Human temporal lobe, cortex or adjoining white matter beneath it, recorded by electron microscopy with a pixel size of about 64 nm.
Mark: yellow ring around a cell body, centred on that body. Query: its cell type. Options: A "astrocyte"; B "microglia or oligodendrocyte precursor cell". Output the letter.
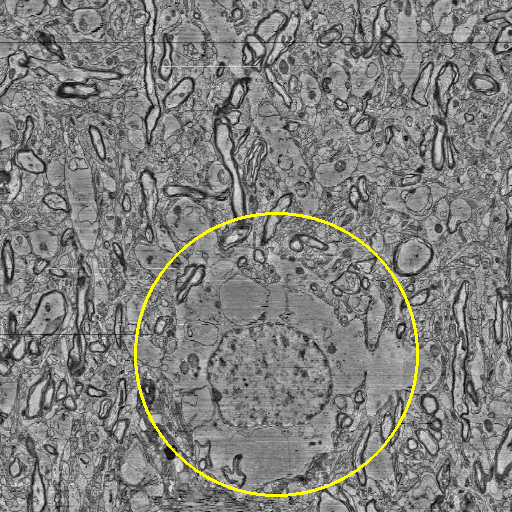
A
